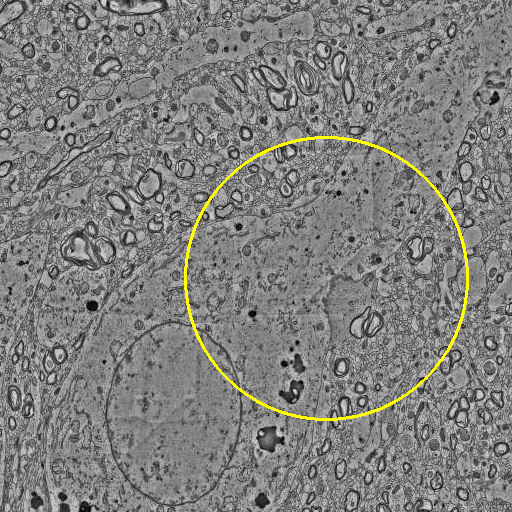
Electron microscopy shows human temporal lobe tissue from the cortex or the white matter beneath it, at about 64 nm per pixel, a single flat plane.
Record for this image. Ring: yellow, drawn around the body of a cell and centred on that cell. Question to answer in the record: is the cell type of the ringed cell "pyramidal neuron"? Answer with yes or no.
no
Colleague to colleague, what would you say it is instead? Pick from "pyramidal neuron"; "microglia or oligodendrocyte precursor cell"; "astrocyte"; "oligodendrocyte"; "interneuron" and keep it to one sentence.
In this picture, the ring is centred on an oligodendrocyte.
